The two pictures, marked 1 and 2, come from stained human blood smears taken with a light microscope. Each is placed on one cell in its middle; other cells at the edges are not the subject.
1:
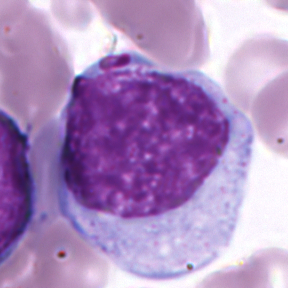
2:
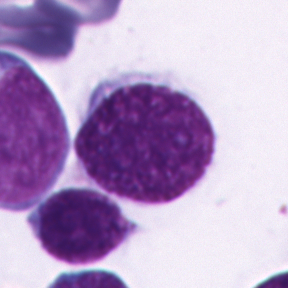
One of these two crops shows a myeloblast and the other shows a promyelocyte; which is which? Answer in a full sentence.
Okay, so crop 1 is a promyelocyte and crop 2 is a myeloblast.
